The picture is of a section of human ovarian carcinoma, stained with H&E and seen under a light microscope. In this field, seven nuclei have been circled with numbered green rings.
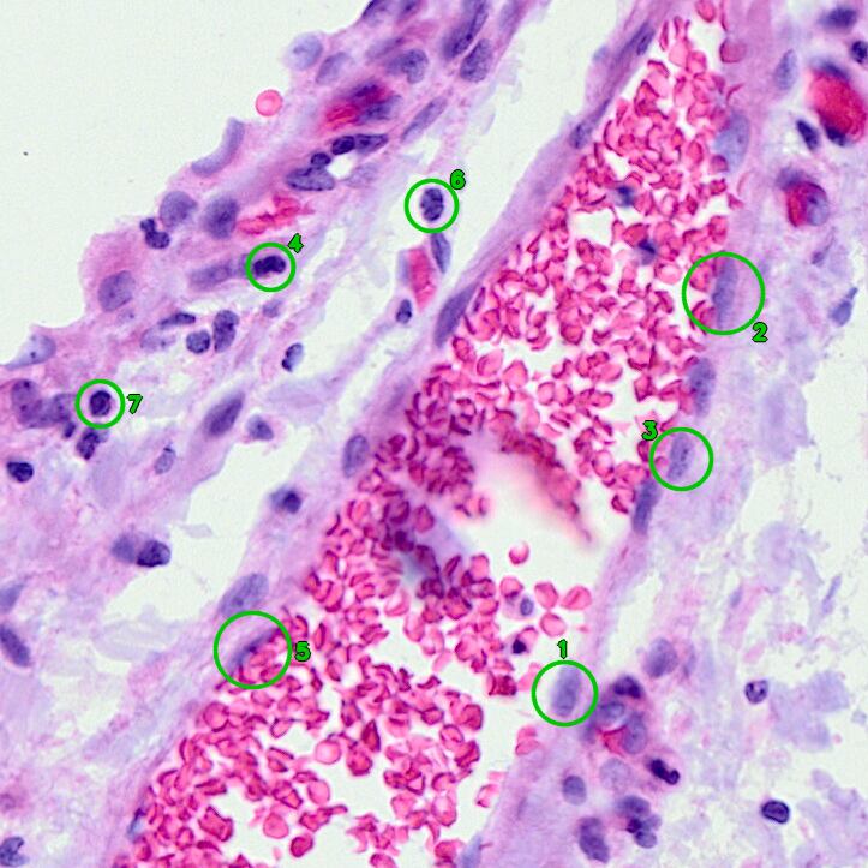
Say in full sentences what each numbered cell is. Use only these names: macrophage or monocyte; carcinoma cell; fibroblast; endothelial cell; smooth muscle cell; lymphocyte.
Cells 1, 2, 3 and 5 are endothelial cells. Cells 4, 6 and 7 are lymphocytes.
